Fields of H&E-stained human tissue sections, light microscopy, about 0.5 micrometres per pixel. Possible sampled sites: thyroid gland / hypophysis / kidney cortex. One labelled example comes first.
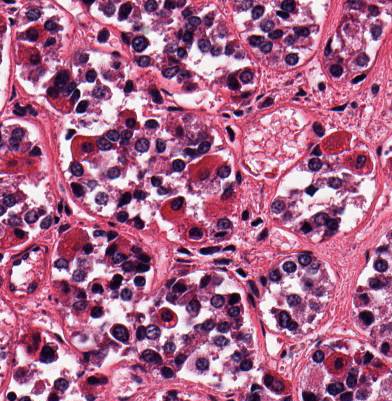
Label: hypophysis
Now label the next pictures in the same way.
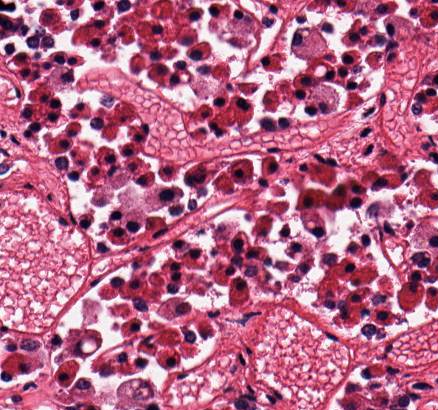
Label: hypophysis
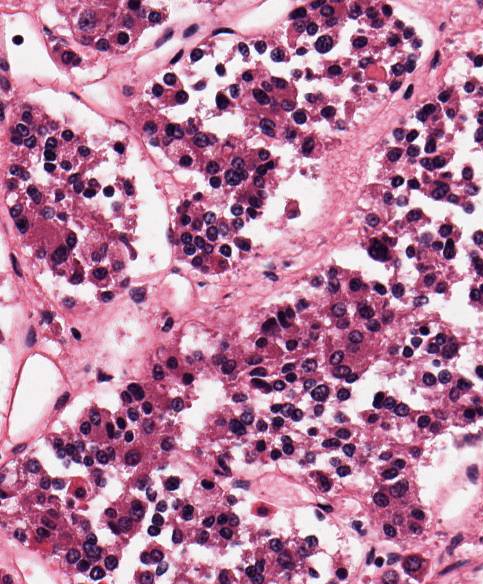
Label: hypophysis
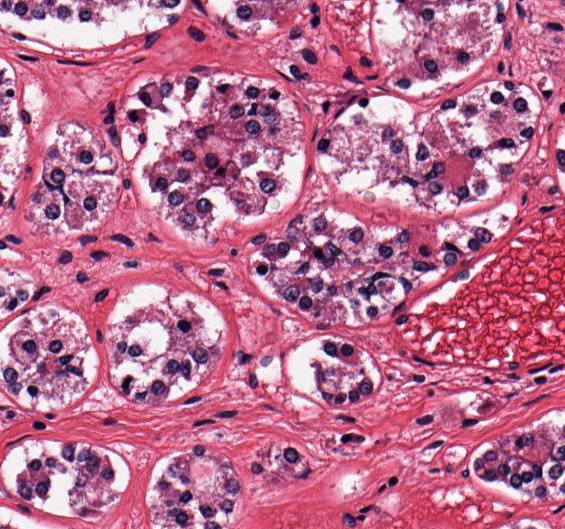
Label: hypophysis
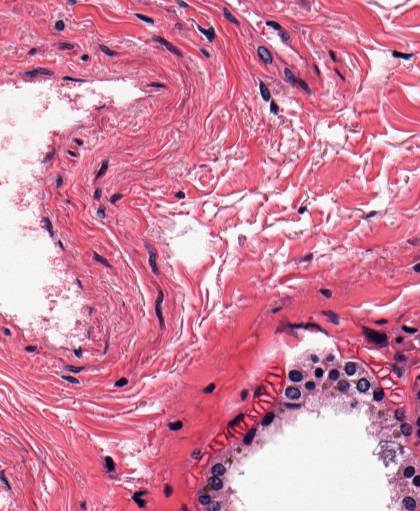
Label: thyroid gland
